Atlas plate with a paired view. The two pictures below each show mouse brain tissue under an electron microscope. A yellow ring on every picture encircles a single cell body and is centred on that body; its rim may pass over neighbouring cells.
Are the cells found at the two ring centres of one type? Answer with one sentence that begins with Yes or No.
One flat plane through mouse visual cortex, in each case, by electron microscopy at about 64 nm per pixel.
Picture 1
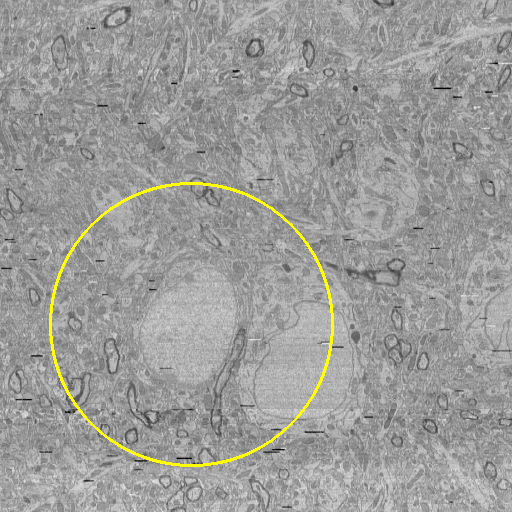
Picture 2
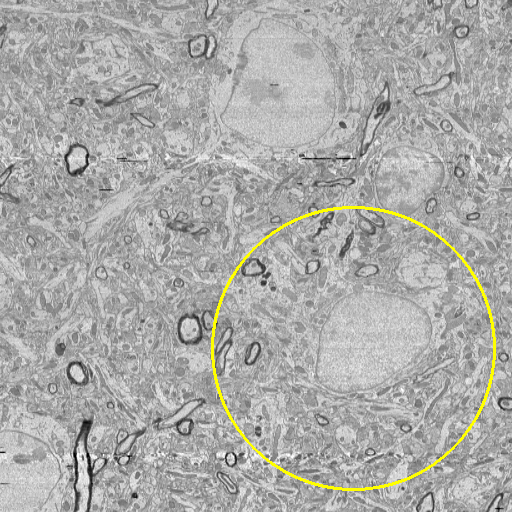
Yes, the two cells lying at the centres of the rings share a single type.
